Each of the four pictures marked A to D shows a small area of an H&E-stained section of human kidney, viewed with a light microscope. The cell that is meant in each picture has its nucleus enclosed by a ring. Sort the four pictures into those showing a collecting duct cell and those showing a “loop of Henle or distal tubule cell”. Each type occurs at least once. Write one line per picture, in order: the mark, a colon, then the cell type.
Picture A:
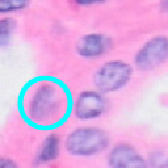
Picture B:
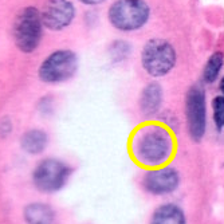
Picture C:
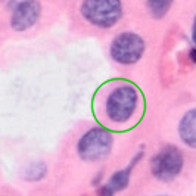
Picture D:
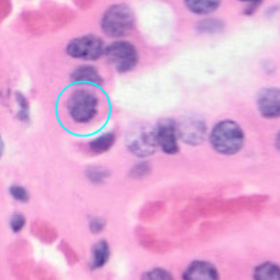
A: loop of Henle or distal tubule cell
B: collecting duct cell
C: loop of Henle or distal tubule cell
D: collecting duct cell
